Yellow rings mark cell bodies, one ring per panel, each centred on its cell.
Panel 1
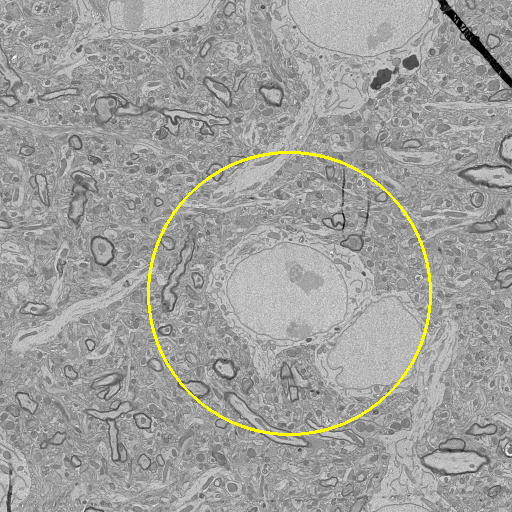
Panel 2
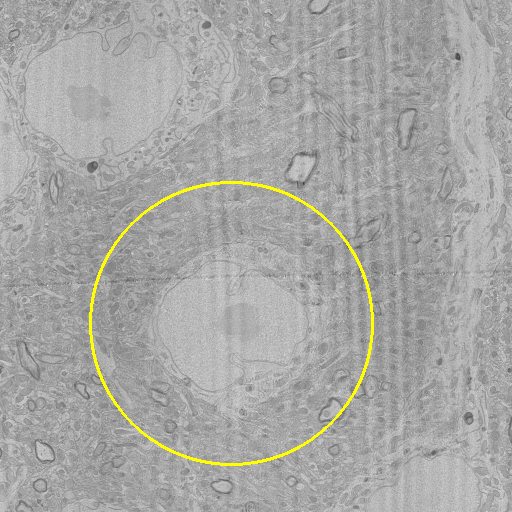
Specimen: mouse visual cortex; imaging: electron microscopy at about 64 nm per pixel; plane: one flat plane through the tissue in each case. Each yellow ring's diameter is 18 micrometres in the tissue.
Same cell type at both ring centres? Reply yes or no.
yes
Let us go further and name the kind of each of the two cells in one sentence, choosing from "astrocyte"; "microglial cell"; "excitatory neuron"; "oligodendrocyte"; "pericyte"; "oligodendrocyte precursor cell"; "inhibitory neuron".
The cell in the first picture is an excitatory neuron, and so is the one in the second.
